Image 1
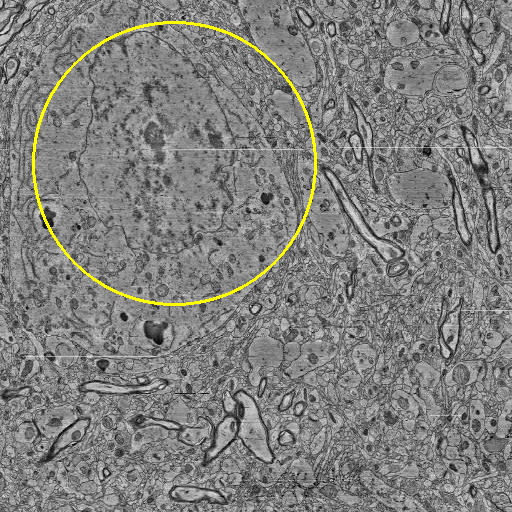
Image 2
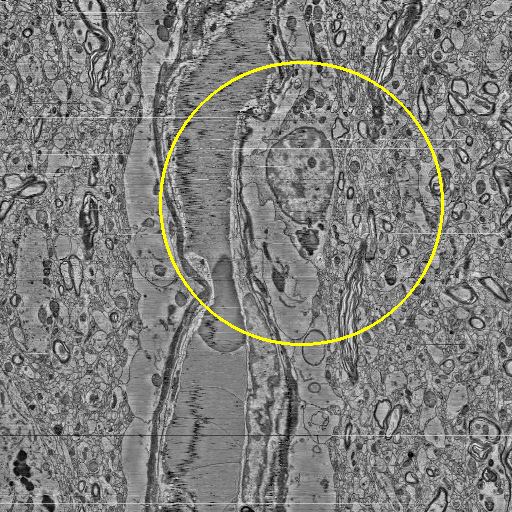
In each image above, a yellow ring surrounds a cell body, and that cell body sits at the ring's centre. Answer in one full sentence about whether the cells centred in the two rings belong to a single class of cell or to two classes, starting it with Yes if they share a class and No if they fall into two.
No, the cells centred in the two yellow rings belong to two classes of cell.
